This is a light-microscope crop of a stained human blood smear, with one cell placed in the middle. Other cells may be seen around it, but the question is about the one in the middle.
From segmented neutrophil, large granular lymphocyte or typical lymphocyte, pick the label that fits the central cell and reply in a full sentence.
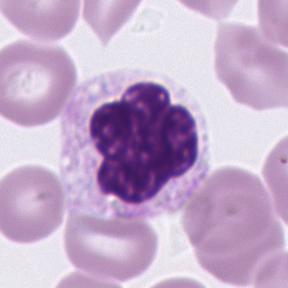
Among the cells in view, the one in the middle is a segmented neutrophil.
